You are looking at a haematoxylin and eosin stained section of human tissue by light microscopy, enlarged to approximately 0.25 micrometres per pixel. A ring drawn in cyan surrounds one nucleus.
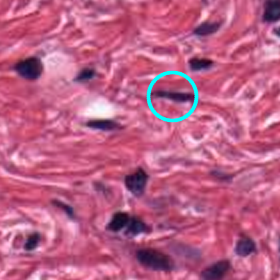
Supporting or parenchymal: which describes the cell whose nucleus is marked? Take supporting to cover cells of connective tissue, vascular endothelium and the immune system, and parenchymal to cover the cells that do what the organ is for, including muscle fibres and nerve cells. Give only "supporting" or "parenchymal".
supporting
